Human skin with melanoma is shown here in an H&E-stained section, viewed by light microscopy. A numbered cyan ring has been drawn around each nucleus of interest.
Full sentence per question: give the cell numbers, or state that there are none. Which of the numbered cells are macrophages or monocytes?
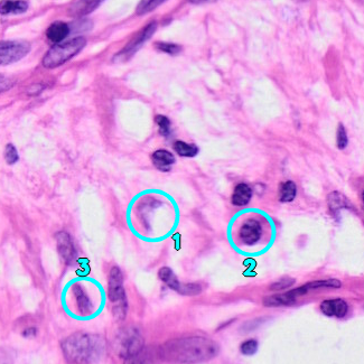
Of the marked cells, the one numbered 3 is a macrophage or monocyte and the rest are not.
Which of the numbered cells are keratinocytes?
No numbered nucleus belongs to one of the keratinocytes.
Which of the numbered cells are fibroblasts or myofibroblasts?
There is only one numbered cell that is a fibroblast or myofibroblast, and it is cell 1.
